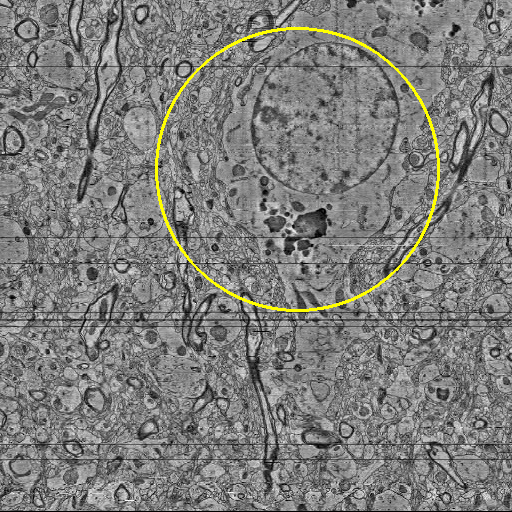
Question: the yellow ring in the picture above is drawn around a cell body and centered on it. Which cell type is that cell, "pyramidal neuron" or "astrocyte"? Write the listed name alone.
astrocyte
